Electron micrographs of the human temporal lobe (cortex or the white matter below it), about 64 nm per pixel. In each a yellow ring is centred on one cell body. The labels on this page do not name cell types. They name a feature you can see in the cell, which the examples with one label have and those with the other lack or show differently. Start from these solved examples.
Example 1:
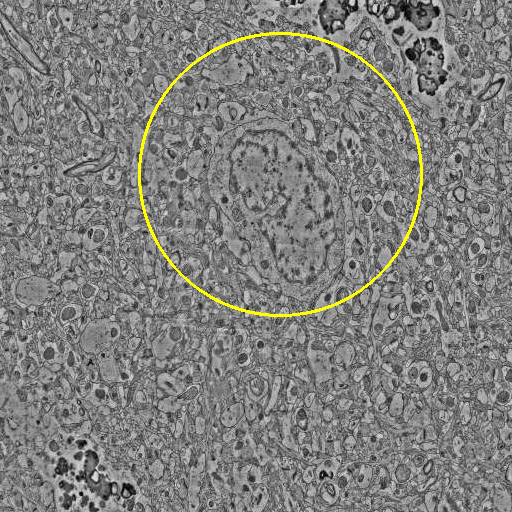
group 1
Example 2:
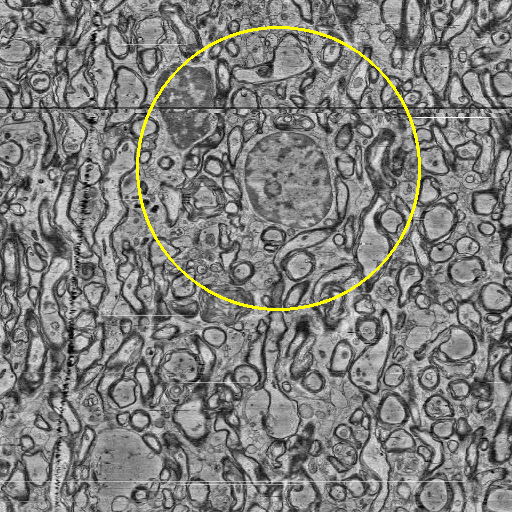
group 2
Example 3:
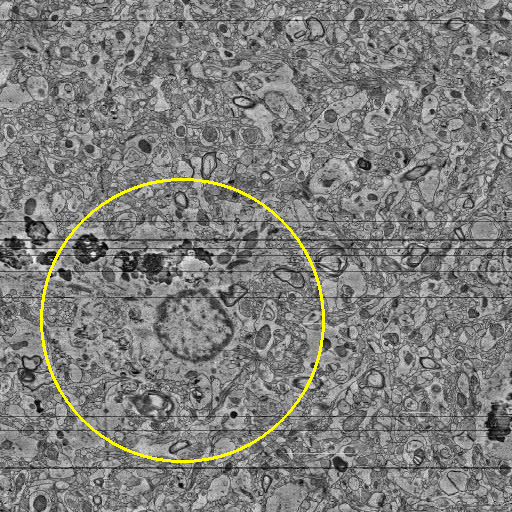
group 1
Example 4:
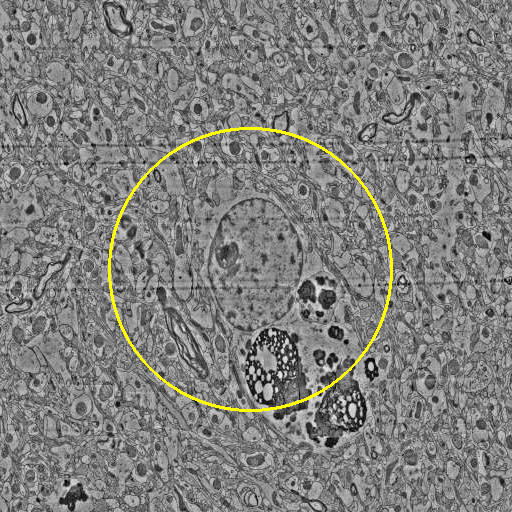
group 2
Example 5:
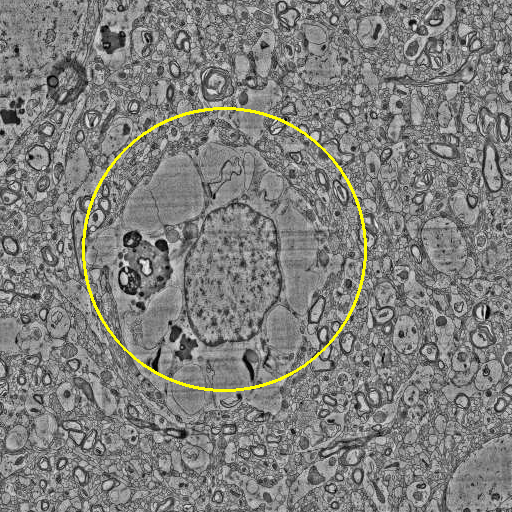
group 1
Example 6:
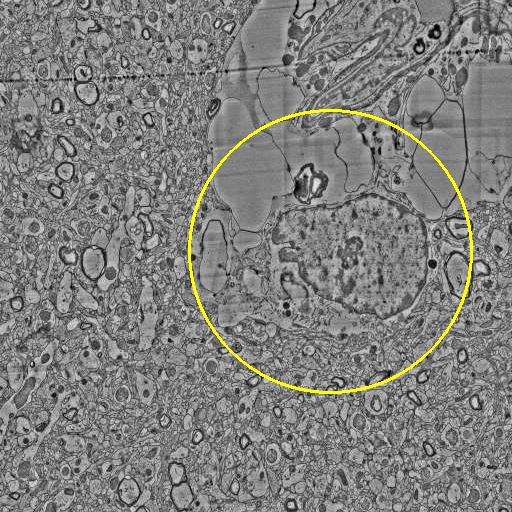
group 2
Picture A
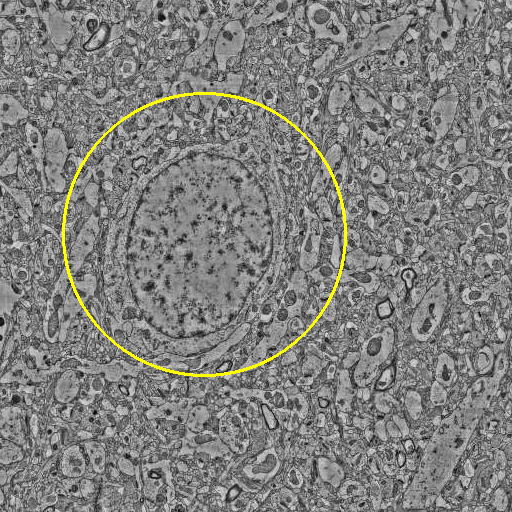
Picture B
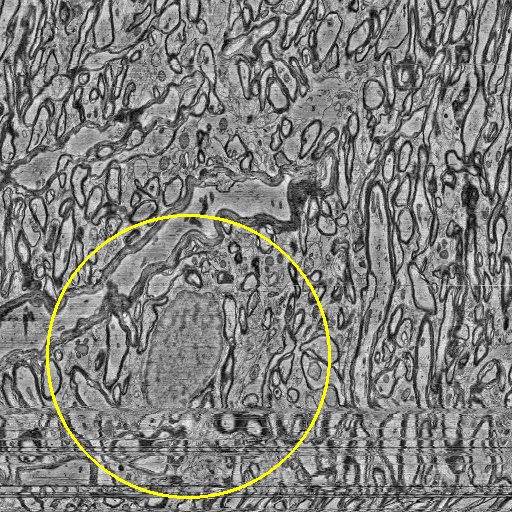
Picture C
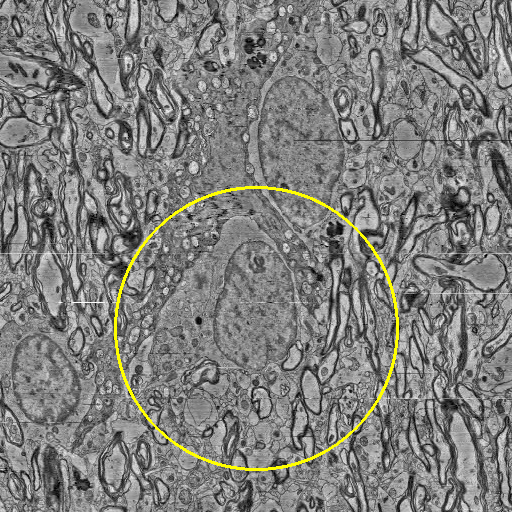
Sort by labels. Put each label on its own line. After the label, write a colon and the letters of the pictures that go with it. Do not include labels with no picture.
group 1: A, B
group 2: C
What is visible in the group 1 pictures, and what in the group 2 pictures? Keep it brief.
In group 1: no nucleolus seen. In group 2: nucleolus seen.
